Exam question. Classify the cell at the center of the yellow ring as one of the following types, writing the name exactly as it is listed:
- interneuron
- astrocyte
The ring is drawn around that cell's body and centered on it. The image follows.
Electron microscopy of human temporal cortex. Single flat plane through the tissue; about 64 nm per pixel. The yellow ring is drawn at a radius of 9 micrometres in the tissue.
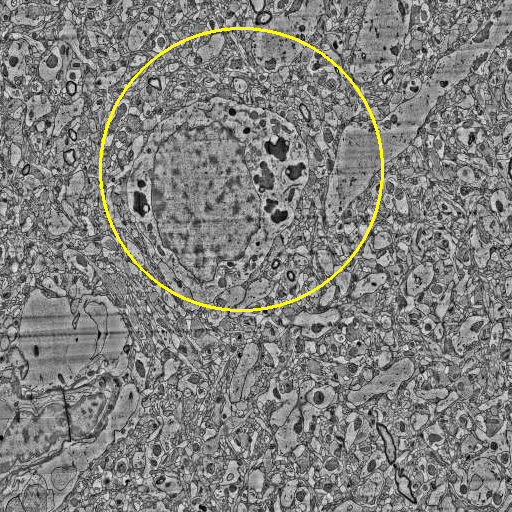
interneuron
